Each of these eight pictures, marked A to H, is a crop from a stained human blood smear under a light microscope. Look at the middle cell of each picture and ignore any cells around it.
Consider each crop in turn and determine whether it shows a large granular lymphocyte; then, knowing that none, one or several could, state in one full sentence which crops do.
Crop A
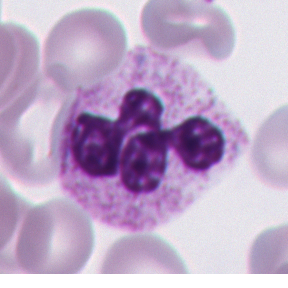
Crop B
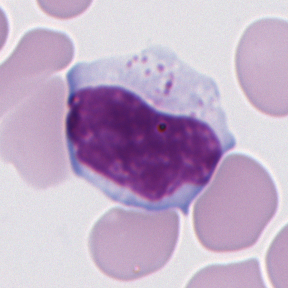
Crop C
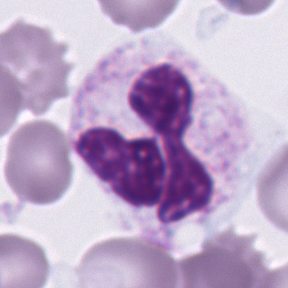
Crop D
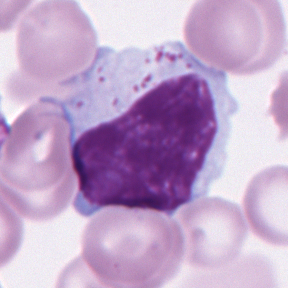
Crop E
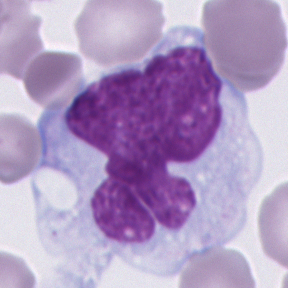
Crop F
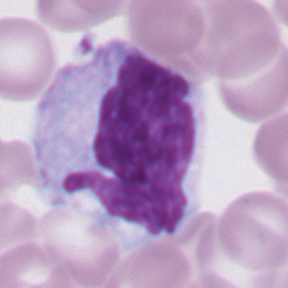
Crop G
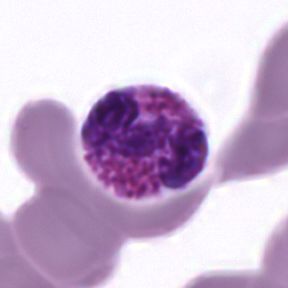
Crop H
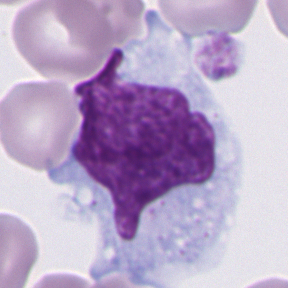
Crops B and D display large granular lymphocytes in the centre of the field.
